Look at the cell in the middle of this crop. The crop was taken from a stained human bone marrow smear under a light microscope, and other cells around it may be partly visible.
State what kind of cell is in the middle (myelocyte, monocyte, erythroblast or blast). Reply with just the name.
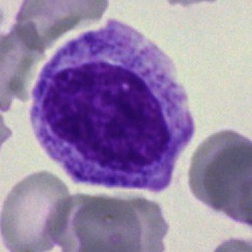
myelocyte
